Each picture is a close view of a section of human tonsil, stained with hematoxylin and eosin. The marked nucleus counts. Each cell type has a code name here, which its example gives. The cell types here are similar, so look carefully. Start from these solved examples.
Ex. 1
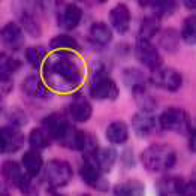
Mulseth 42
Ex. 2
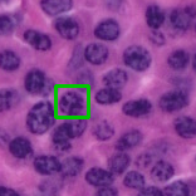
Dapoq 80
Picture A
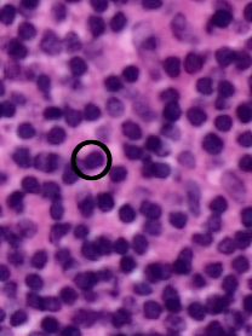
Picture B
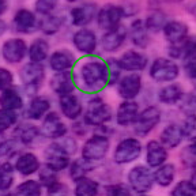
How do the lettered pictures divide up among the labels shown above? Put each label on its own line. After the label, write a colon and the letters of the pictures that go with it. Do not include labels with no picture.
Mulseth 42: A, B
